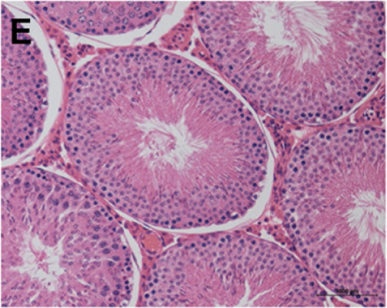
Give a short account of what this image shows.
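Cross-sectioned seminiferous tubules of the testis fill the field, each lined by a thick, many-layered epithelium of spermatogenic cells with dark purple nuclei stacked from the basal edge toward the centre. The central lumens contain pink, streaming fibrillar material, and narrow strands of interstitium with small cells and vessels lie between the tubules.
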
